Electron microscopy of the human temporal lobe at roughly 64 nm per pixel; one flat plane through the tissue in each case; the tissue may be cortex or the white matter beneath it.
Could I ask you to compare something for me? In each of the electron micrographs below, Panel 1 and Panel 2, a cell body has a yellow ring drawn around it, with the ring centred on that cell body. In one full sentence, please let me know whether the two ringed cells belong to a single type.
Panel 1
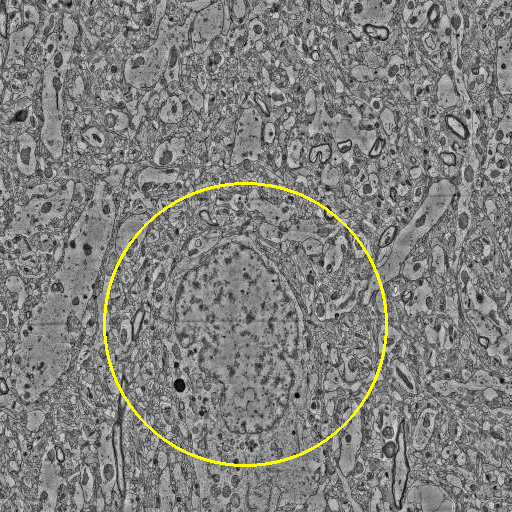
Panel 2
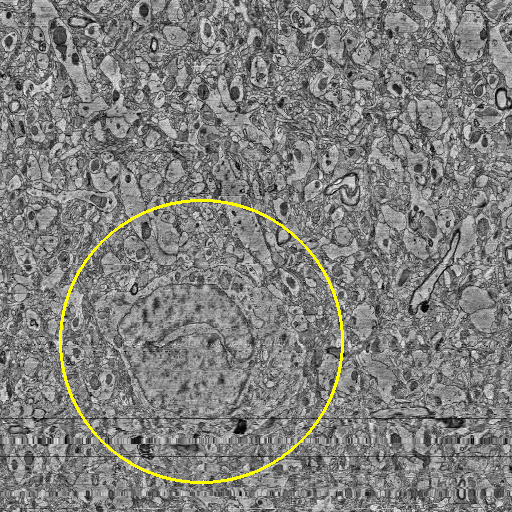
Yes, the two cells at the centres of the rings are of one type.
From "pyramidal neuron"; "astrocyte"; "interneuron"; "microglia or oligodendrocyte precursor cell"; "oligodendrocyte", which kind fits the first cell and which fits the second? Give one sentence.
The ring centre holds an interneuron in each of the two pictures.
